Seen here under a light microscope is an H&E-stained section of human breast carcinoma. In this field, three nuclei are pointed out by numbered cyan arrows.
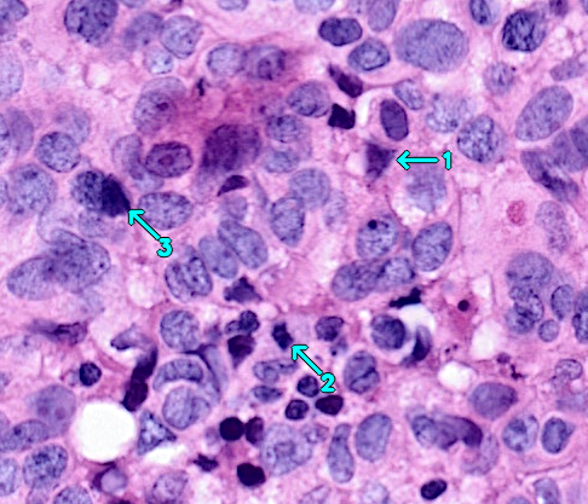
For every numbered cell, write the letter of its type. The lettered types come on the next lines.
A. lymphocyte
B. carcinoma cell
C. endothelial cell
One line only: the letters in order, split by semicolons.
B; A; B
